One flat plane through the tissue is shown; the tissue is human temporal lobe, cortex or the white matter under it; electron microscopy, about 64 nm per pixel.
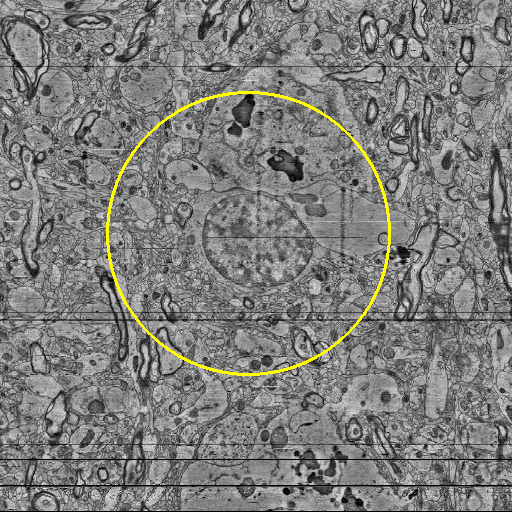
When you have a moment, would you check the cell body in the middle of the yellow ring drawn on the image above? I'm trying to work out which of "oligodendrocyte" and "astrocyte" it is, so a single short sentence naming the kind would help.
This cell body belongs to an oligodendrocyte.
